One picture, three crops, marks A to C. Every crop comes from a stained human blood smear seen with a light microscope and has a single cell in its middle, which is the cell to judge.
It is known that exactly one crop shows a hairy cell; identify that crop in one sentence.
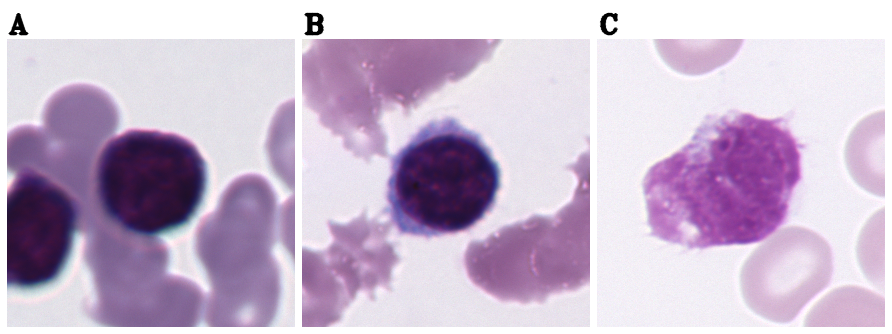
The crop with a hairy cell at its center is crop B.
